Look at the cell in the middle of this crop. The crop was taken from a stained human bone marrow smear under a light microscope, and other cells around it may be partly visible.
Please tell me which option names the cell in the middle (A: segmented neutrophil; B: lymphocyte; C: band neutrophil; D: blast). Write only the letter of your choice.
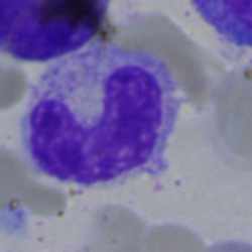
C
